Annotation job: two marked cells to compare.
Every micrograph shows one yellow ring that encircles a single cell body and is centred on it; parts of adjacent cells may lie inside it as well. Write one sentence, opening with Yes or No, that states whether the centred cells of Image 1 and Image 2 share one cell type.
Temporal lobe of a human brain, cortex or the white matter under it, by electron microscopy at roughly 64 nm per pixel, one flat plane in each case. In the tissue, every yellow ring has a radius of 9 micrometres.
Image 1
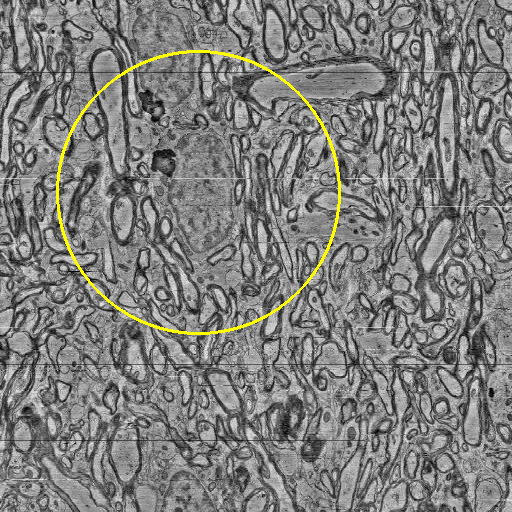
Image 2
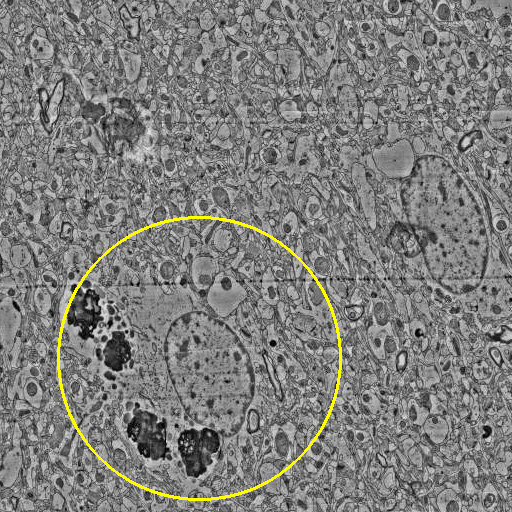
No, the cell centred in Image 1 and the cell centred in Image 2 are of two types.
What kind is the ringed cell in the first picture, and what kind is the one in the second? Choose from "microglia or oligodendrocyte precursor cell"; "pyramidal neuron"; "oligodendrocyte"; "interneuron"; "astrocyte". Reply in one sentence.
The first cell is an oligodendrocyte; the second is an astrocyte.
